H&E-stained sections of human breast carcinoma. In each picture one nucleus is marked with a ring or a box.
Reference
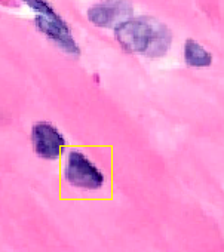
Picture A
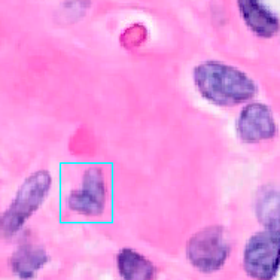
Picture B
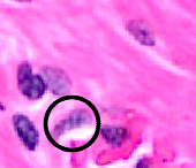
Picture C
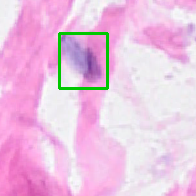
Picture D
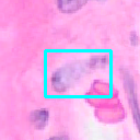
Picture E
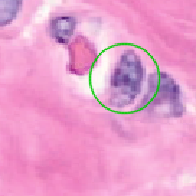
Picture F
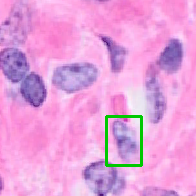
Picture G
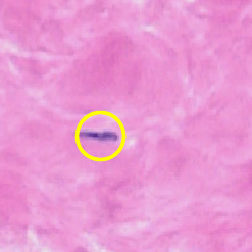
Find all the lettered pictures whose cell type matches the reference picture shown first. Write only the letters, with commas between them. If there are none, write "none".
none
